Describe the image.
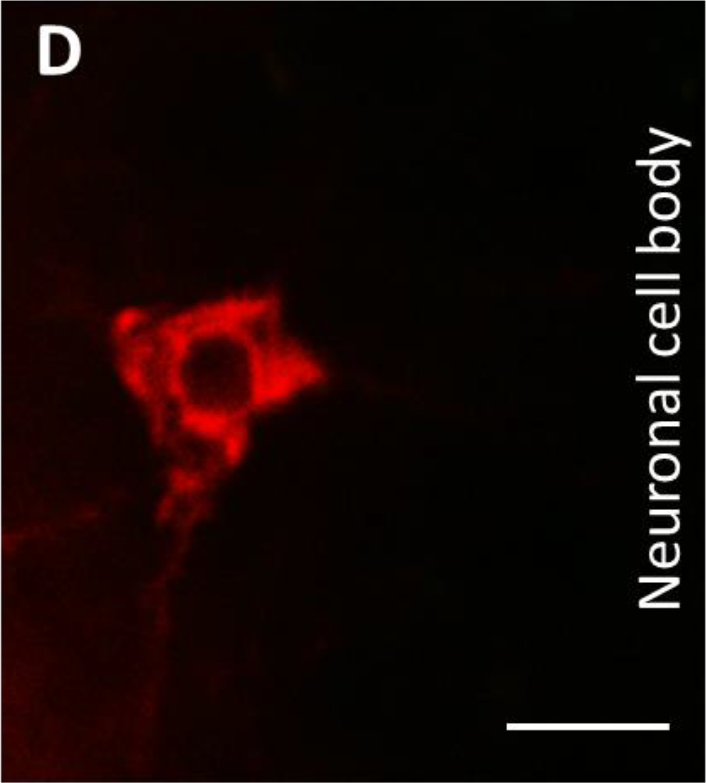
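The soma is roughly triangular, with its corners drawn out where processes leave it. In its middle lies a dark round area free of red, where the nucleus sits, ringed by brightly labelled cytoplasm. A thin, faint process runs downward from the lower part of the cell body.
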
